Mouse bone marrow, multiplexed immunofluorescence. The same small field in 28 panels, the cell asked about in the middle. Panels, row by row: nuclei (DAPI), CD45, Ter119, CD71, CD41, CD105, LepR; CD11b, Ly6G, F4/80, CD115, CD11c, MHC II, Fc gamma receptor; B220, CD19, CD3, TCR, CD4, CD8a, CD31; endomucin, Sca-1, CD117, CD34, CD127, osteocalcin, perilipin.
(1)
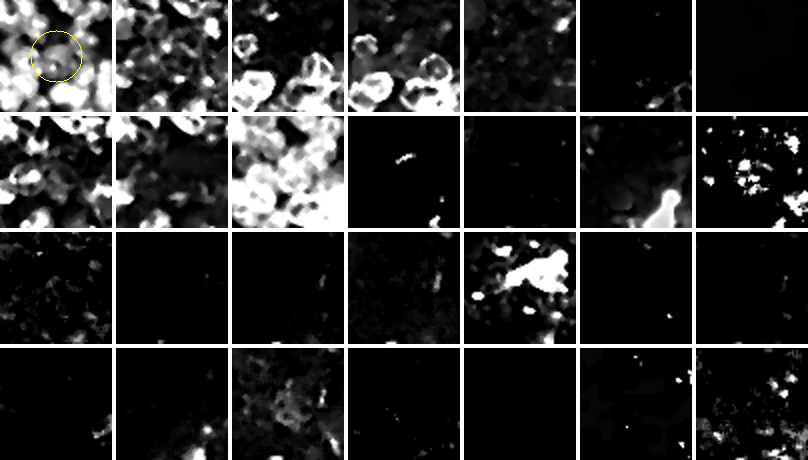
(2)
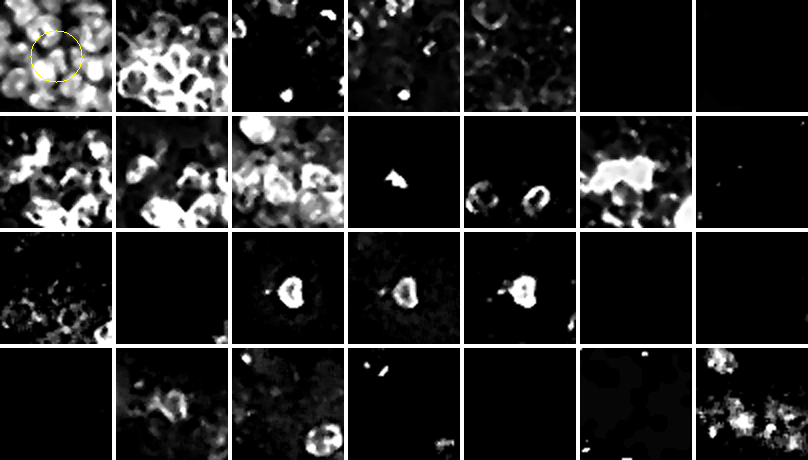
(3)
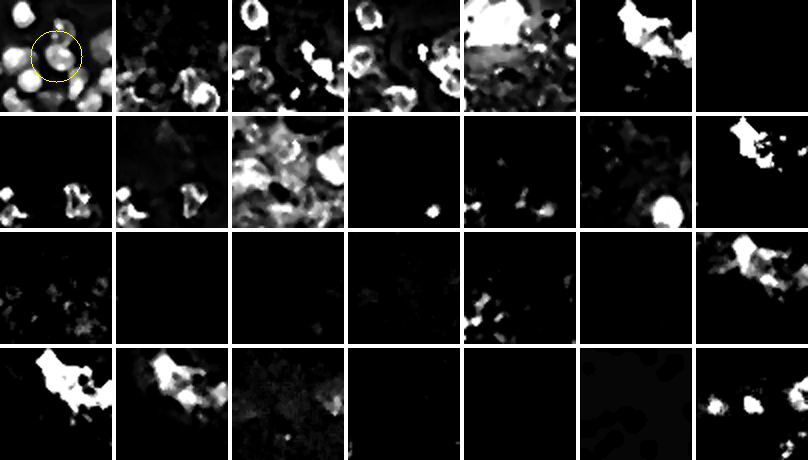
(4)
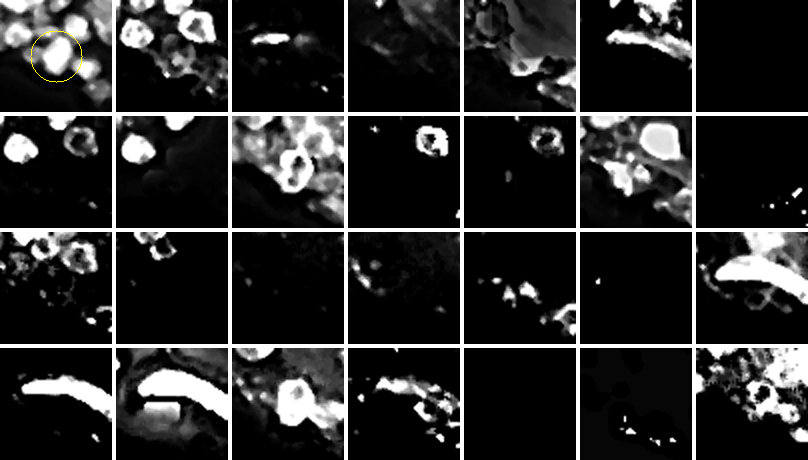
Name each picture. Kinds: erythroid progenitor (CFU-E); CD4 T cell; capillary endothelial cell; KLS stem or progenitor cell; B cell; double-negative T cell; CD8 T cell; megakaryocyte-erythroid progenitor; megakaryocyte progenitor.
(1) erythroid progenitor (CFU-E)
(2) CD4 T cell
(3) capillary endothelial cell
(4) KLS stem or progenitor cell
